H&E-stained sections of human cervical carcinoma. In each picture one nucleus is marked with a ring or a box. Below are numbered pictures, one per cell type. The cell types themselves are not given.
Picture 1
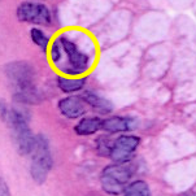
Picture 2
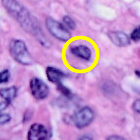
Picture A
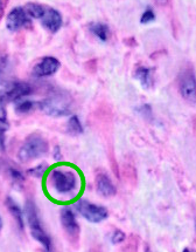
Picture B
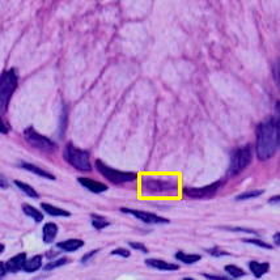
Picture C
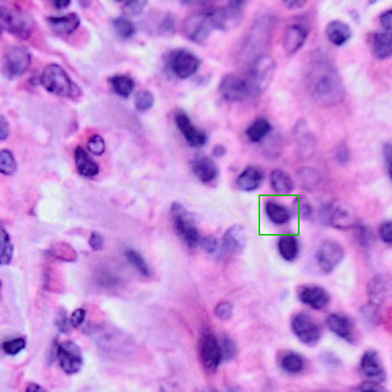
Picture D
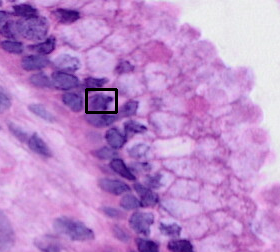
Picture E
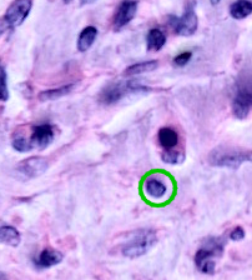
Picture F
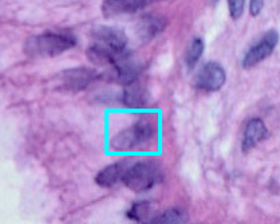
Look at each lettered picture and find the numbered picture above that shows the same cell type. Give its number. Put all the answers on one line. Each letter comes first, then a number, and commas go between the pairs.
A 2, B 1, C 2, D 1, E 2, F 1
